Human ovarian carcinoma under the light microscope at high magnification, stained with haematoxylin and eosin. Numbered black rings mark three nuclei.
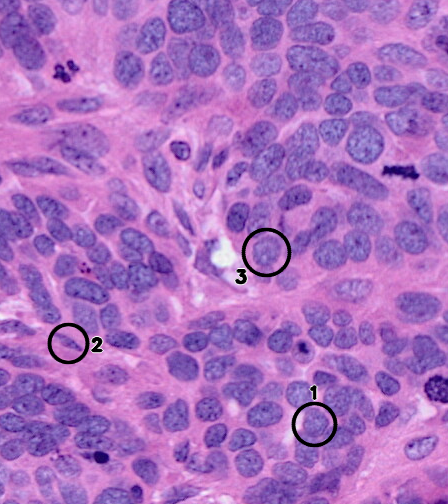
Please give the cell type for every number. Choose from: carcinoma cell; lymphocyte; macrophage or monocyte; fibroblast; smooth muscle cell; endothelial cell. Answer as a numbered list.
1. carcinoma cell
2. fibroblast
3. carcinoma cell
